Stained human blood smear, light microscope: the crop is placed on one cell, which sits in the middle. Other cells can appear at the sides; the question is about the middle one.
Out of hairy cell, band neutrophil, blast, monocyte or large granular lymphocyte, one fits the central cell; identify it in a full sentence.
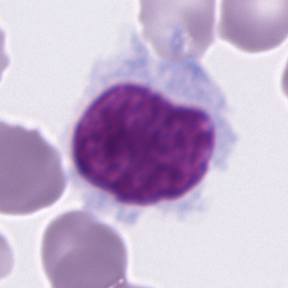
The cell under consideration, at the middle of the crop, is a hairy cell.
